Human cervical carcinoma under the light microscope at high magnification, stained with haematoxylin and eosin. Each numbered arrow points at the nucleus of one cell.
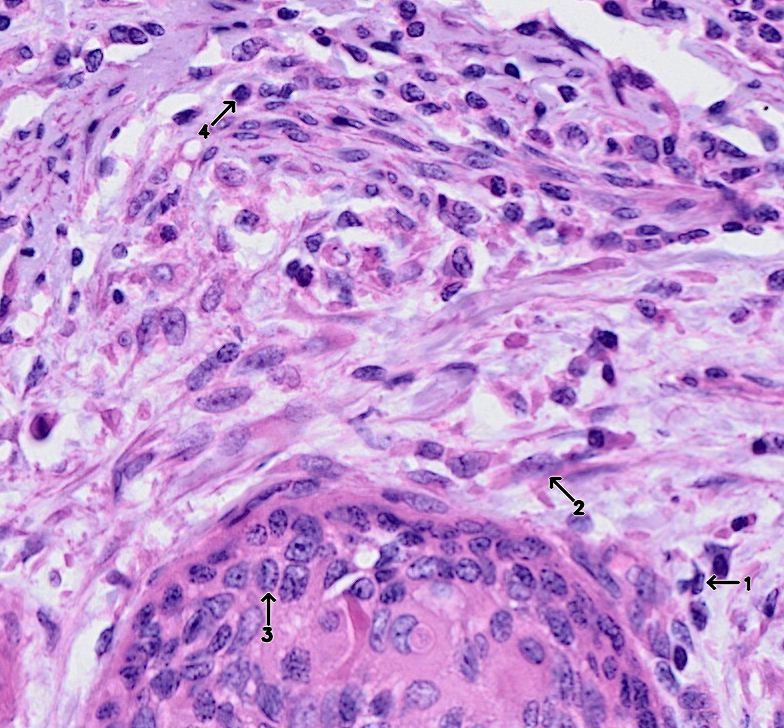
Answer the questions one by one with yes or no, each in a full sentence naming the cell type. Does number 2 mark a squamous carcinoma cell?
No, the cell carrying number 2 is a fibroblast, not a squamous carcinoma cell.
